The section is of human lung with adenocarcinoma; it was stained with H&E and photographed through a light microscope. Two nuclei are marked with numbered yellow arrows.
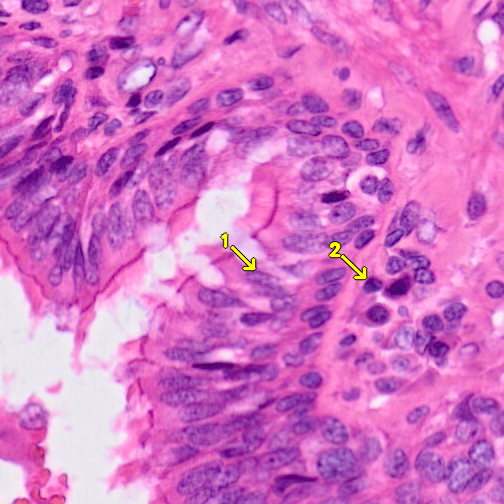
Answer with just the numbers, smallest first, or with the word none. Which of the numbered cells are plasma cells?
2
